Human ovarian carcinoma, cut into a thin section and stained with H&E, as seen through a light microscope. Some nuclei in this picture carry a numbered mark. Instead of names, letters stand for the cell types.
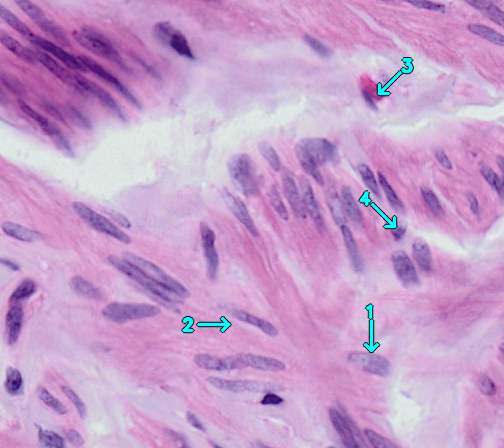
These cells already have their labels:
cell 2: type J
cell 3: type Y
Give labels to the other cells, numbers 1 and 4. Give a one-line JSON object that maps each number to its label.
{"1": "type J", "4": "type J"}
